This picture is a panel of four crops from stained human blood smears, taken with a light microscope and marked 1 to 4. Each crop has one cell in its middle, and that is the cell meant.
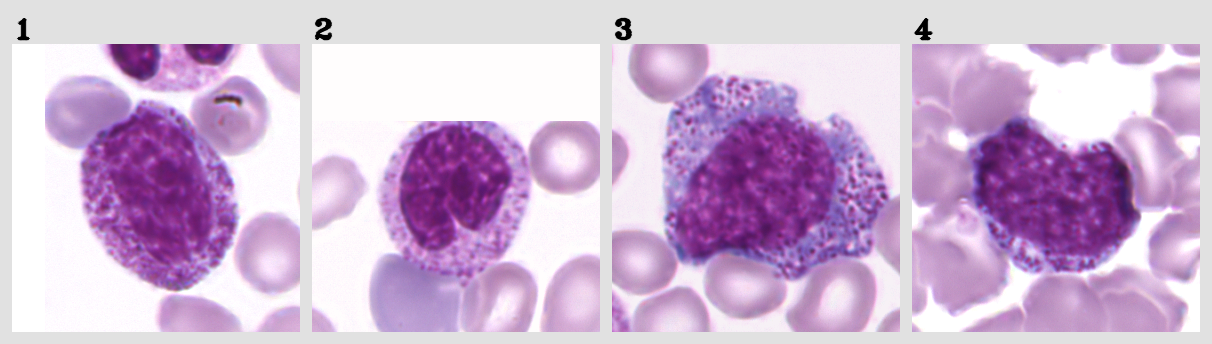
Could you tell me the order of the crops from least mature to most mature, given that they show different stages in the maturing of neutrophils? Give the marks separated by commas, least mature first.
3, 4, 1, 2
